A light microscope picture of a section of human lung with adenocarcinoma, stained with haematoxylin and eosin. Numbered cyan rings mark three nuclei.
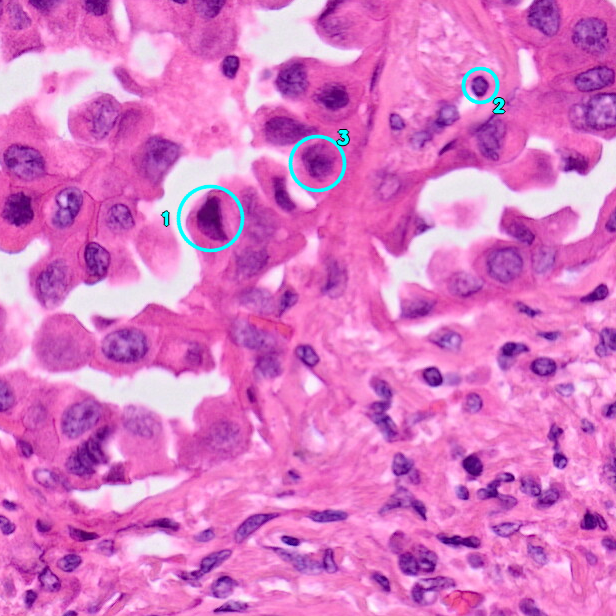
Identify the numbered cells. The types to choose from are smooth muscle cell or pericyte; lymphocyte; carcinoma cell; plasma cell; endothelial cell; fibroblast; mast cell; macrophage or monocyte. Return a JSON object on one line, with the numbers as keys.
{"1": "carcinoma cell", "2": "lymphocyte", "3": "carcinoma cell"}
